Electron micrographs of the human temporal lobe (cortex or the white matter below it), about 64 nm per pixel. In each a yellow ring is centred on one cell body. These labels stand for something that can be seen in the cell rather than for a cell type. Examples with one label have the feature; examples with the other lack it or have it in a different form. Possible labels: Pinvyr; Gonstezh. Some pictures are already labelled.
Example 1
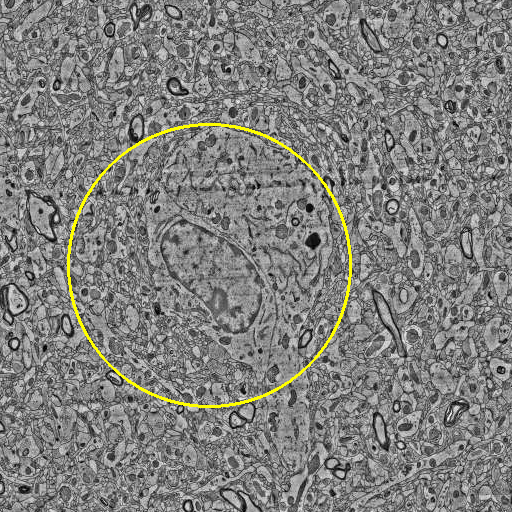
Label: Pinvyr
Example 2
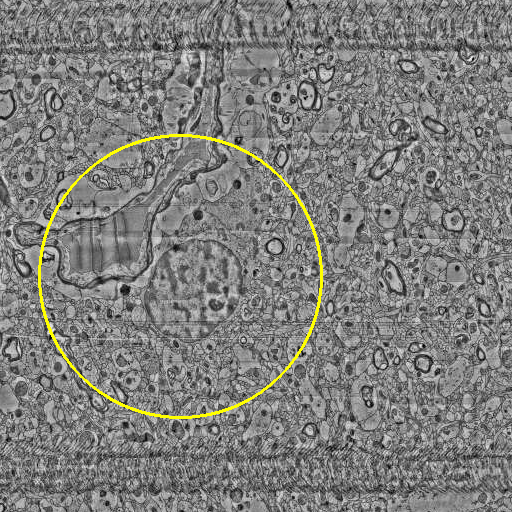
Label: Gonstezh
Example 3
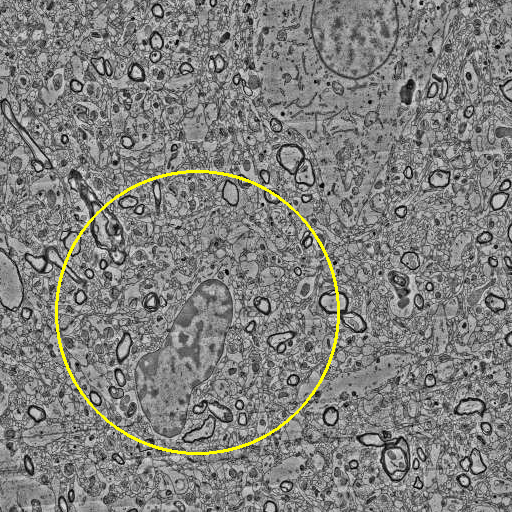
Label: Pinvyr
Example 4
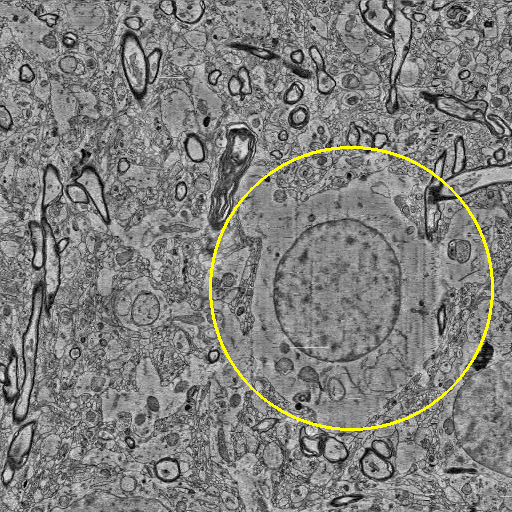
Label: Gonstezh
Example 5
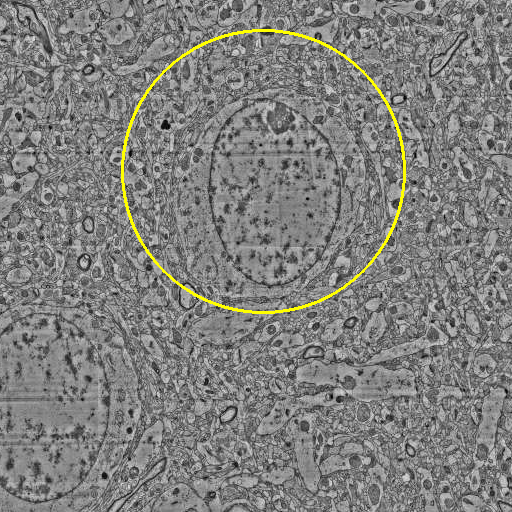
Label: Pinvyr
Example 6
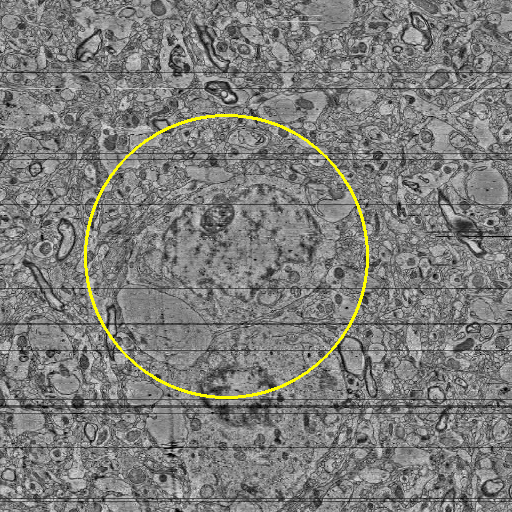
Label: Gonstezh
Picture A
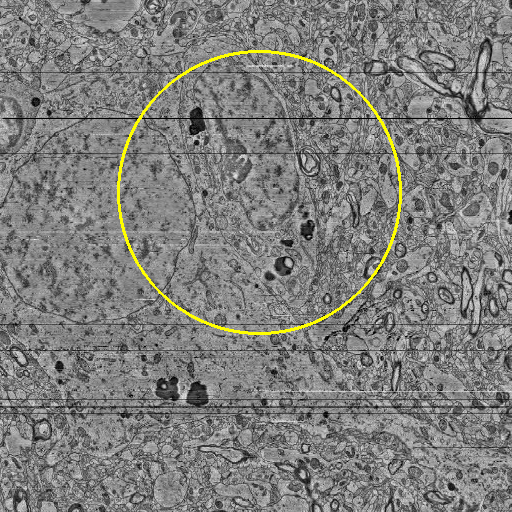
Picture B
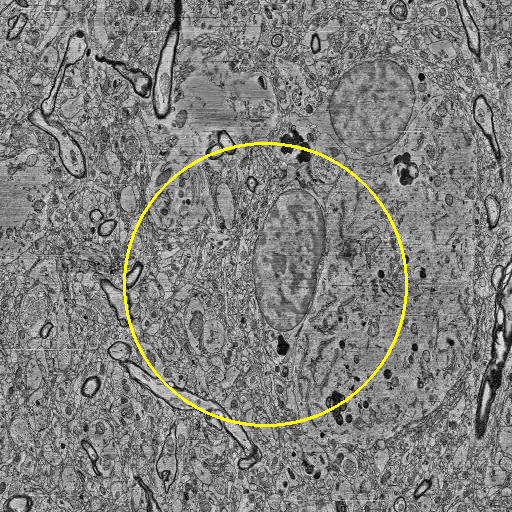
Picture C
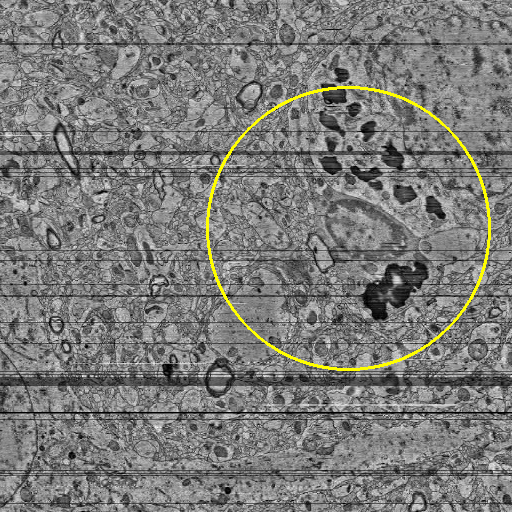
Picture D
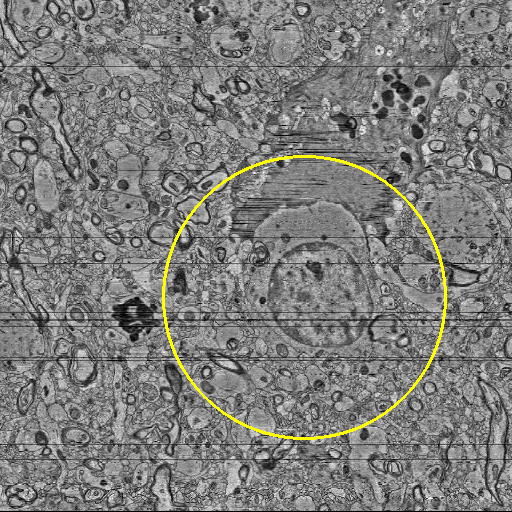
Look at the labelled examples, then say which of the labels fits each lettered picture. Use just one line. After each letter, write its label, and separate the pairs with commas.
A Pinvyr, B Pinvyr, C Pinvyr, D Gonstezh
